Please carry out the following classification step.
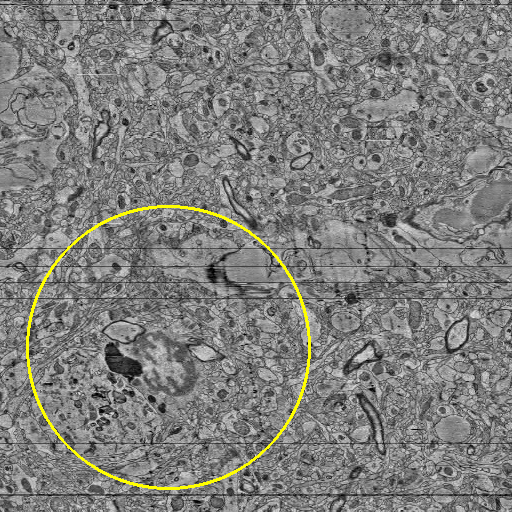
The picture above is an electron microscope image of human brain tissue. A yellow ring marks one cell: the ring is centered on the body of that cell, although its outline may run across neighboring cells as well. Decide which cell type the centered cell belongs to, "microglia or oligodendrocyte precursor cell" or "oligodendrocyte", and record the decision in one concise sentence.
The cell centered in the yellow ring is an oligodendrocyte.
